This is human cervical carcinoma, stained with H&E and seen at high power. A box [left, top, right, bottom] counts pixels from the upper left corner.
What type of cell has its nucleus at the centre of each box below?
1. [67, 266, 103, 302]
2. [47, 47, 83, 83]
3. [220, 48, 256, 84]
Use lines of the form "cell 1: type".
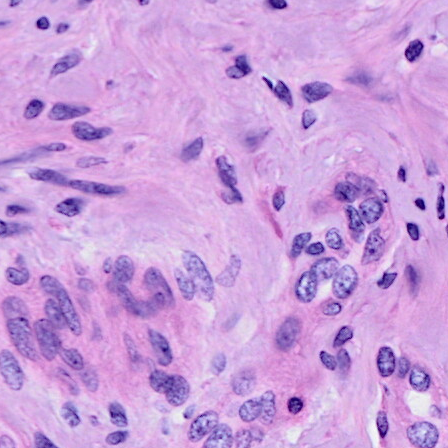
cell 1: smooth muscle cell
cell 2: fibroblast
cell 3: fibroblast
